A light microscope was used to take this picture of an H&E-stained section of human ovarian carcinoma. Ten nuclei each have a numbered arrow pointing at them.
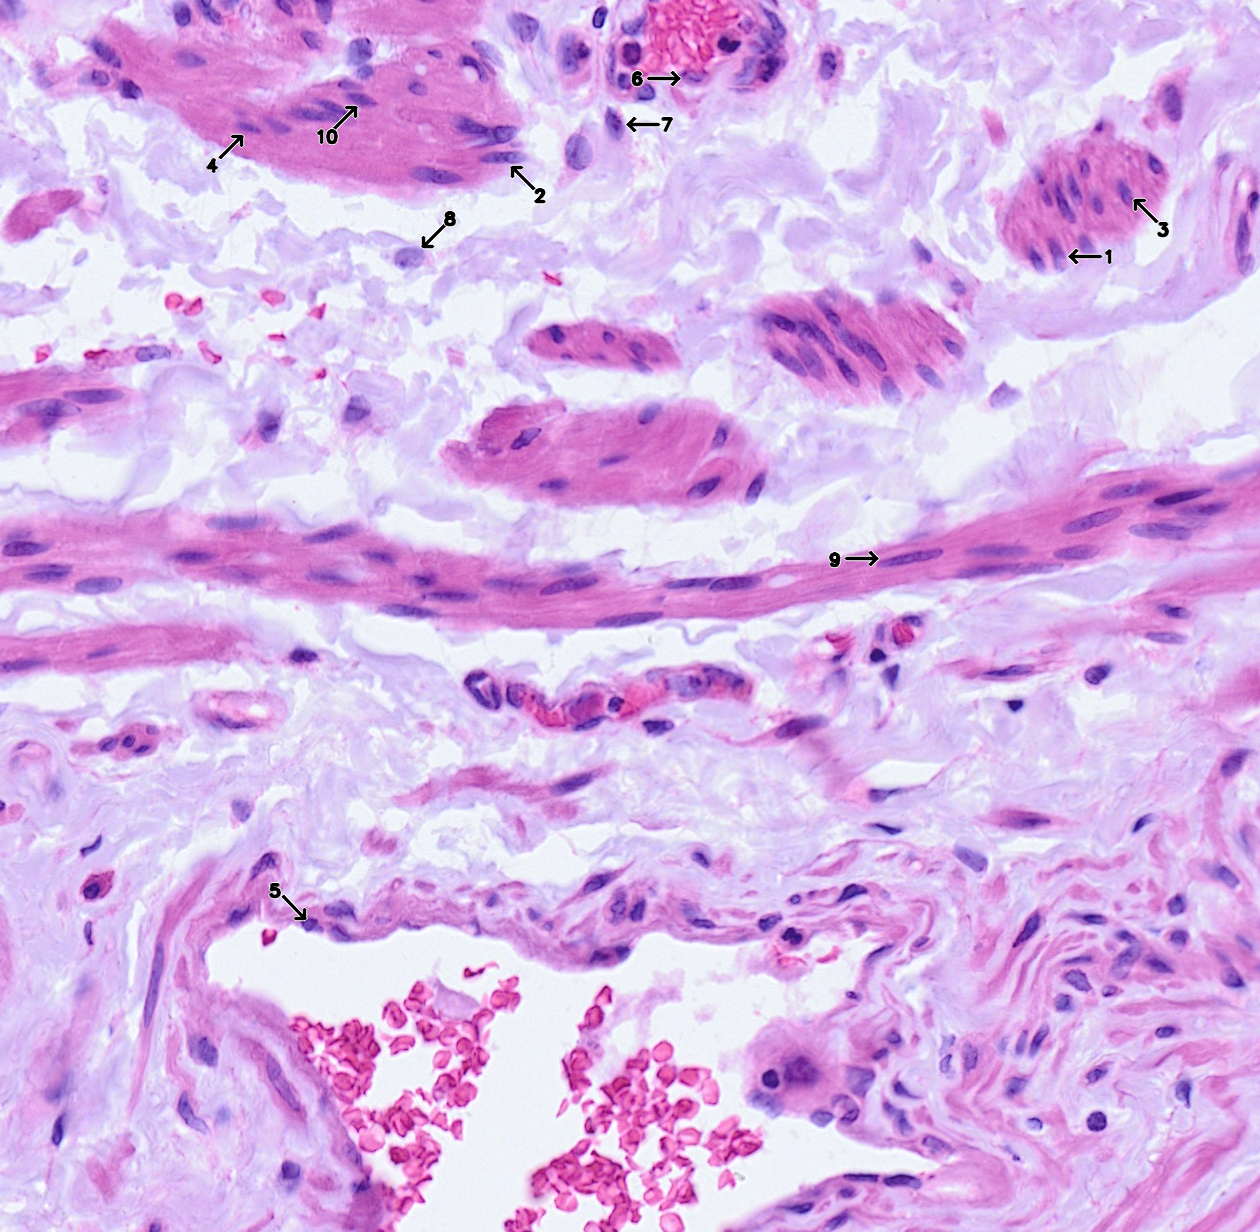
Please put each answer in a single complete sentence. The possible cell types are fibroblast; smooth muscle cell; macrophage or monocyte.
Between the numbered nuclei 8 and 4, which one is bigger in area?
It is nucleus 8, which covers about 2.5 times the area of nucleus 4.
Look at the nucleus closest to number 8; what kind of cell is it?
The cell nearest to number 8 is a smooth muscle cell.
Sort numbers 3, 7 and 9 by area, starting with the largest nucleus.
Going from the biggest nucleus down to the smallest gives 9, 7, 3.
